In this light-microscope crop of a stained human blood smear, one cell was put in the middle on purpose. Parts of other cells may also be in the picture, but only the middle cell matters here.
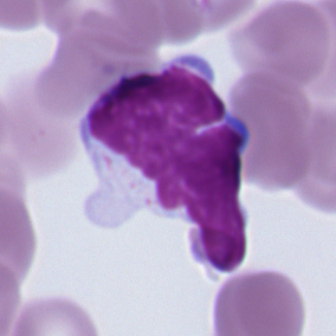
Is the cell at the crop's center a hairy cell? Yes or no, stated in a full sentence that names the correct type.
No, calling it a hairy cell is wrong; the middle cell is a large granular lymphocyte.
